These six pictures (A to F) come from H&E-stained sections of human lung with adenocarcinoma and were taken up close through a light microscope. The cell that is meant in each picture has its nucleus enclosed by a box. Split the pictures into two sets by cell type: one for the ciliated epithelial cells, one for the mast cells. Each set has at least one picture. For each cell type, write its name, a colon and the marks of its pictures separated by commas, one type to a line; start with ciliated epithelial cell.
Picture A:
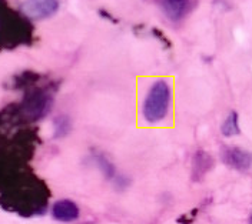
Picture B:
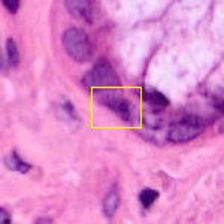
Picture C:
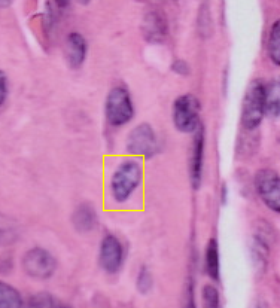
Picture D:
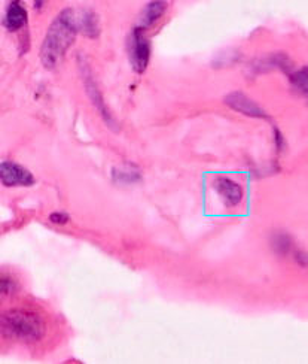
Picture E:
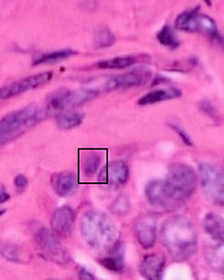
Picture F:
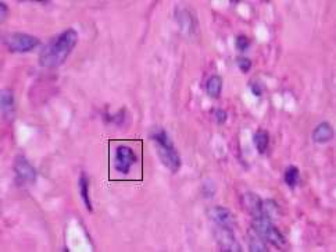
ciliated epithelial cell: B, E
mast cell: A, C, D, F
